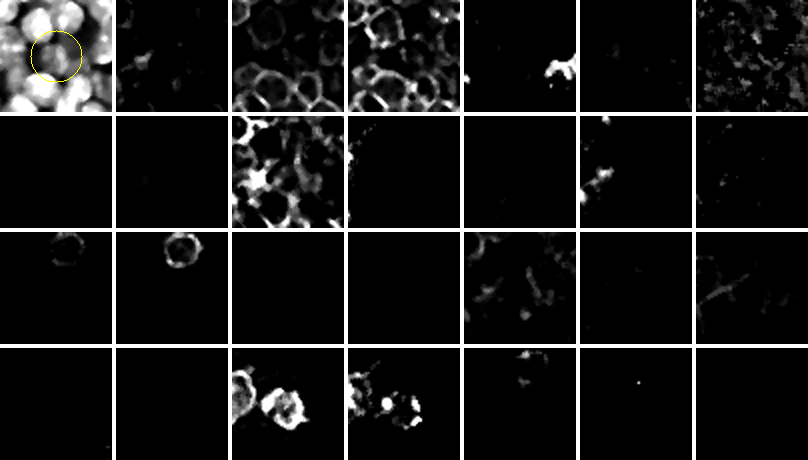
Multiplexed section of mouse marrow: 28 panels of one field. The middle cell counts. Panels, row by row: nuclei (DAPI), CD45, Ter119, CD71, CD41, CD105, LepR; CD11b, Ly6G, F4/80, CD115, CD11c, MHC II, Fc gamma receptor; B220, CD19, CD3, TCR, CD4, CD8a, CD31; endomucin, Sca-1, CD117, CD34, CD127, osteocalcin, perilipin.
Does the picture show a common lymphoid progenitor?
No, it shows a common myeloid progenitor.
